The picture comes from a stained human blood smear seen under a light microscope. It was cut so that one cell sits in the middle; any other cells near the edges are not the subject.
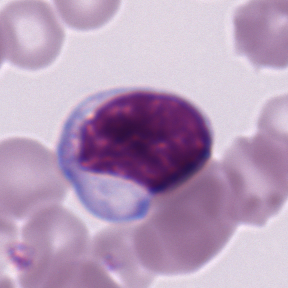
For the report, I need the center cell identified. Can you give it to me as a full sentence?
The crop shows a large granular lymphocyte in its centre.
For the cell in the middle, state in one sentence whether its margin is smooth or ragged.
Thanks for asking; the cell edge is smooth and has no projections.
